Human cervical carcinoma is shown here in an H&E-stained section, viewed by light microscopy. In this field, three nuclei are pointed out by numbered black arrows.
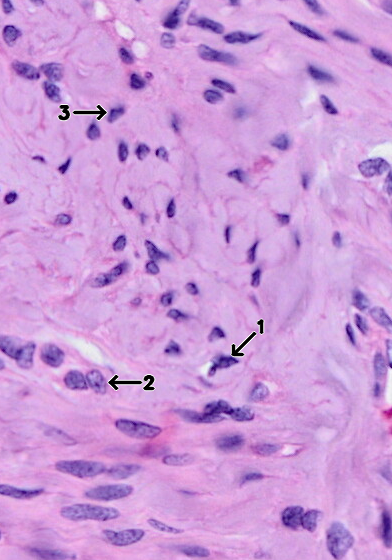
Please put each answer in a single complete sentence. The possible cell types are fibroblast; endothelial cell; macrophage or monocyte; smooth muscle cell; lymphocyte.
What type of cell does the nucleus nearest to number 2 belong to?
The nucleus nearest to number 2 is that of an endothelial cell.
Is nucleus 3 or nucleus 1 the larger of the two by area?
Nucleus 1 is larger, with an area about 1.5 times that of nucleus 3.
